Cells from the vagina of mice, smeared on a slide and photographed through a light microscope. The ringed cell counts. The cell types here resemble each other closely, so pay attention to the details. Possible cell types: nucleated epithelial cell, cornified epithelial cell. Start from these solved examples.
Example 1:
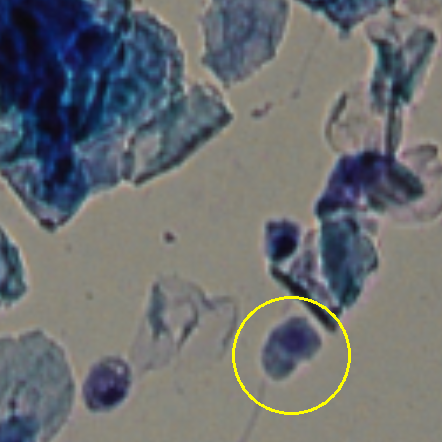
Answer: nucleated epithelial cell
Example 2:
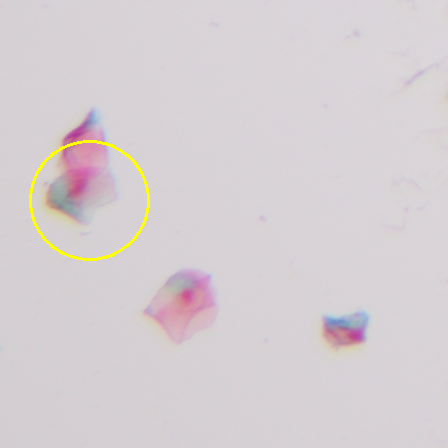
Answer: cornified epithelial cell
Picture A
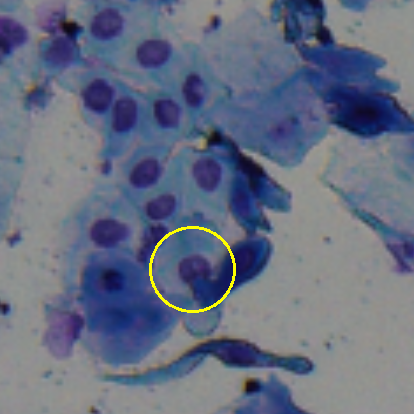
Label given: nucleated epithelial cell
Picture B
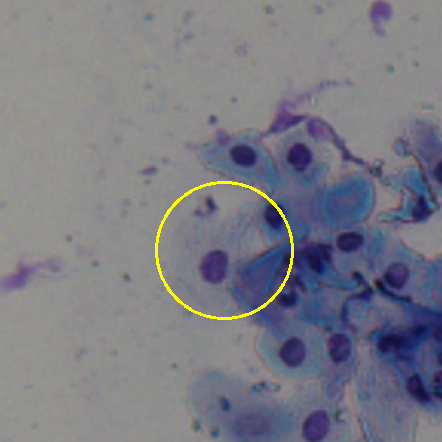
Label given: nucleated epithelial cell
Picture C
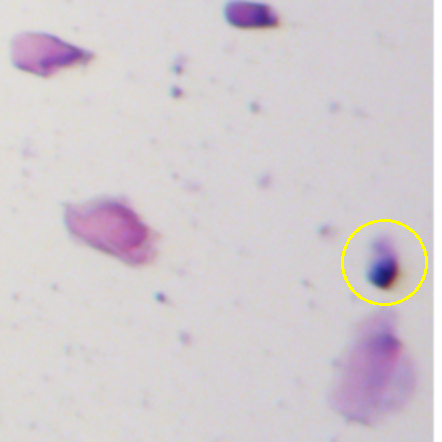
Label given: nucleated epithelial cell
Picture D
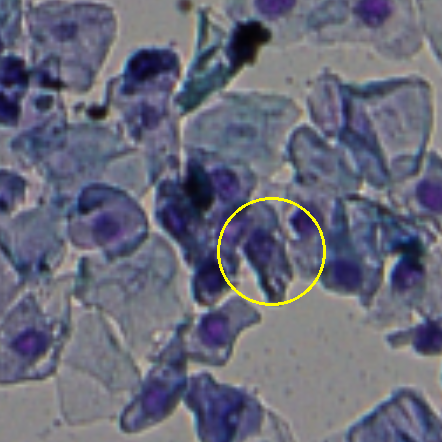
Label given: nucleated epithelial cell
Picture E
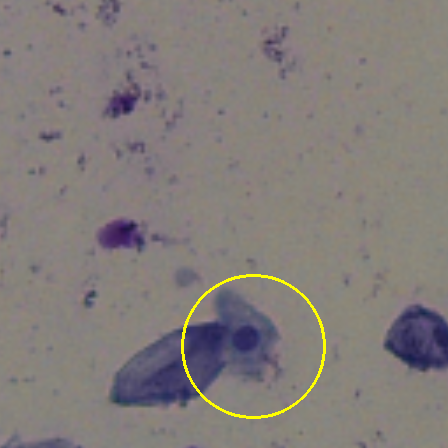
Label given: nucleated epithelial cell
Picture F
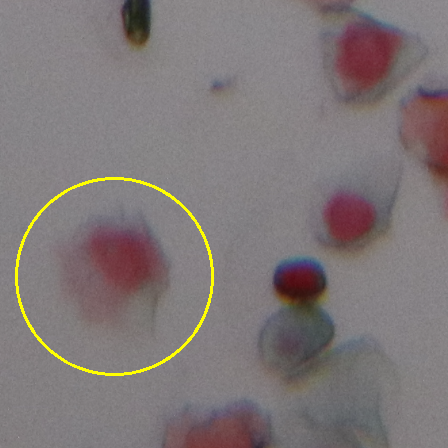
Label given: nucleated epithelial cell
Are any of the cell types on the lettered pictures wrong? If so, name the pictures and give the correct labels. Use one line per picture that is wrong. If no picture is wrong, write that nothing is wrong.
Every label is right.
